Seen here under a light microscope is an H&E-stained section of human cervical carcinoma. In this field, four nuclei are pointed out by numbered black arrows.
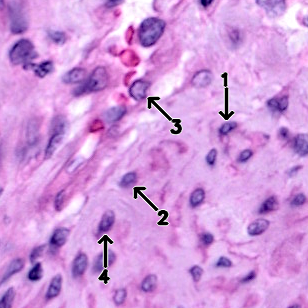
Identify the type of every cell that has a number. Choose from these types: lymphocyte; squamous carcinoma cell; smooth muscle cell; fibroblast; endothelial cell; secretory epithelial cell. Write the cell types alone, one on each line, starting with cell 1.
smooth muscle cell
smooth muscle cell
endothelial cell
smooth muscle cell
